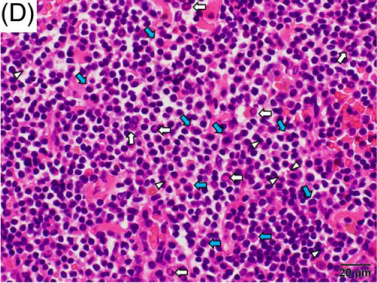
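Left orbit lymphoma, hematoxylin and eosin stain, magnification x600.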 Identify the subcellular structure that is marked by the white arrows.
Dutcher bodies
